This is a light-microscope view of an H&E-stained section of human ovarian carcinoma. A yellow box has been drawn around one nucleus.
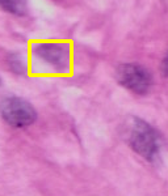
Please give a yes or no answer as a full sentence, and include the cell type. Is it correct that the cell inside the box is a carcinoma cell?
No, score the cell inside the box as a fibroblast; it is not a carcinoma cell.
